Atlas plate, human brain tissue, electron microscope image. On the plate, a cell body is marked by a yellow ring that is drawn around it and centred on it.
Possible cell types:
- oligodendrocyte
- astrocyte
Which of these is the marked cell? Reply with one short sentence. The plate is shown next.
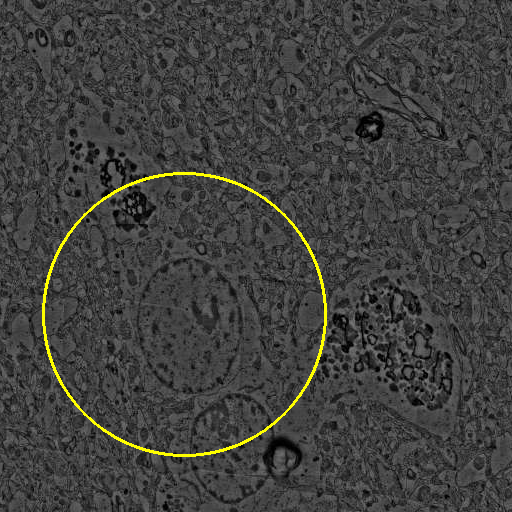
The marked cell is an astrocyte.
